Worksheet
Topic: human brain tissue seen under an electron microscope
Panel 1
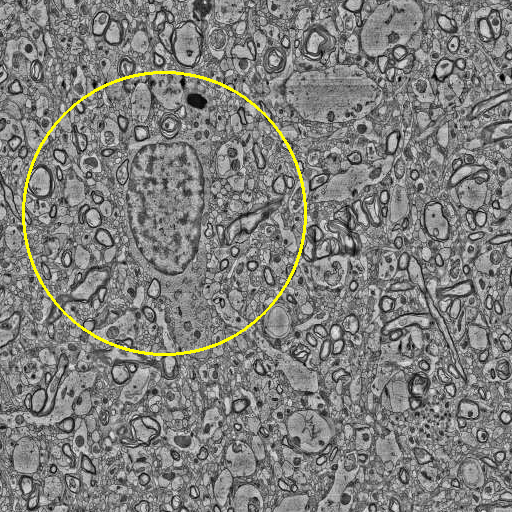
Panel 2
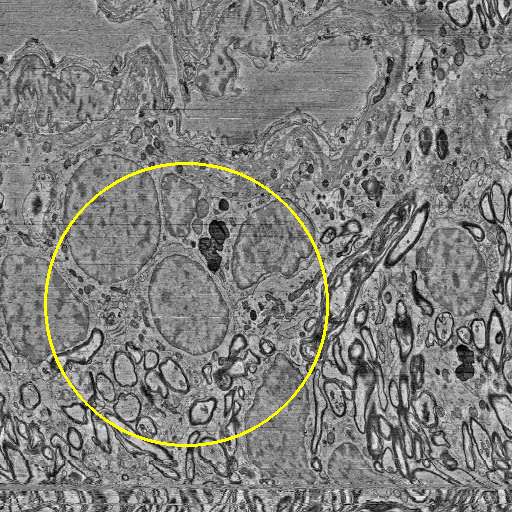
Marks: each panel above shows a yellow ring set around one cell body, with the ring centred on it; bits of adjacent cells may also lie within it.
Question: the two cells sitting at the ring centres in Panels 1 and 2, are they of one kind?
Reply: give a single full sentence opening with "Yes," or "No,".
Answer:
Yes, the two ring-centre cells in Panel 1 and Panel 2 are of one kind.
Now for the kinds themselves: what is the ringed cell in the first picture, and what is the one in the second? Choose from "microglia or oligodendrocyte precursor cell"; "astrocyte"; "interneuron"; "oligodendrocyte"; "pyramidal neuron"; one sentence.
In both pictures the ring is centred on an oligodendrocyte.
